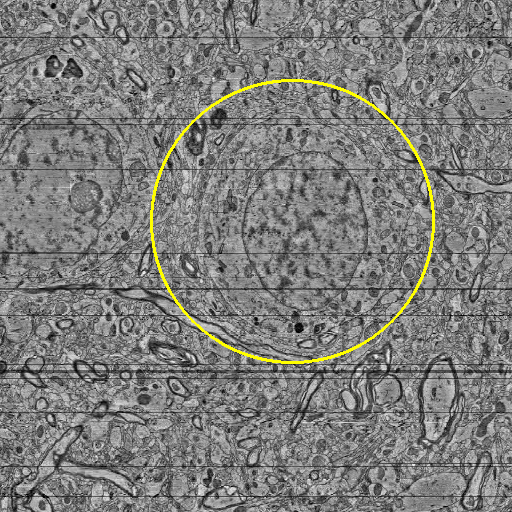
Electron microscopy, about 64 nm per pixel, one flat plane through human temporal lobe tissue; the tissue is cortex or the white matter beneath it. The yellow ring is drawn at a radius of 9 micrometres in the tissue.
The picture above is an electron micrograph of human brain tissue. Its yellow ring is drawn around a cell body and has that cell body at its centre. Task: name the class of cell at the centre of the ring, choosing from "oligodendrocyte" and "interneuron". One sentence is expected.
The ring surrounds the body of an interneuron.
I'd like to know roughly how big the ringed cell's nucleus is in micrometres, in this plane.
The nucleus comes to roughly 11 by 8 micrometres in this plane.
